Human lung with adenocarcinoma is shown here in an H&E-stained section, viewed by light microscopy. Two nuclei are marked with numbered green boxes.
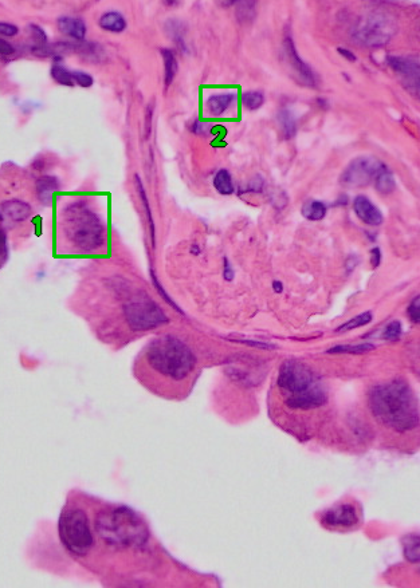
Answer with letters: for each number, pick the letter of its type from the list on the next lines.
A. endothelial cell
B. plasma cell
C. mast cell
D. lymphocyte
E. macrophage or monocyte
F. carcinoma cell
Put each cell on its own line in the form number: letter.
1: F
2: D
